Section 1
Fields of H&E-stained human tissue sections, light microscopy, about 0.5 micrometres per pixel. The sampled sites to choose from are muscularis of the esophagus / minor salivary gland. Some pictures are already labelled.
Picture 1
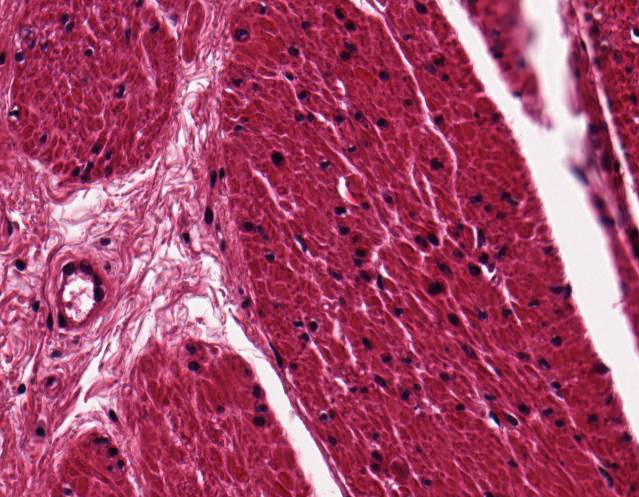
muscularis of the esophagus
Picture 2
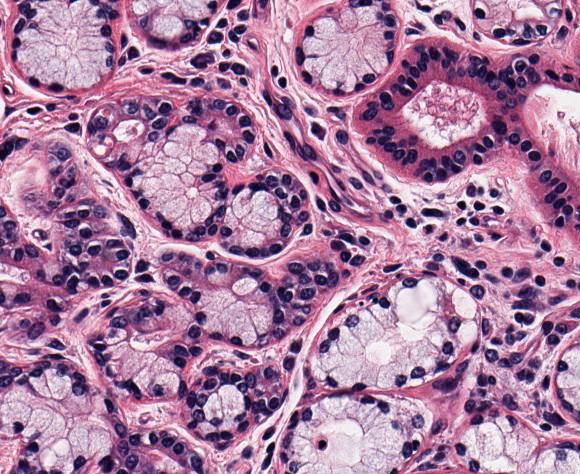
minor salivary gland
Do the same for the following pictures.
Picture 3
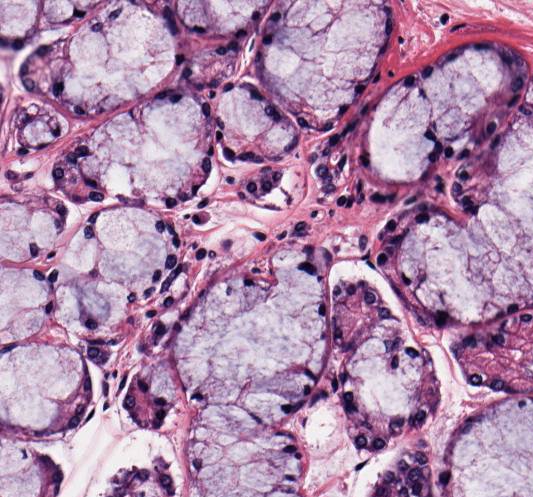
minor salivary gland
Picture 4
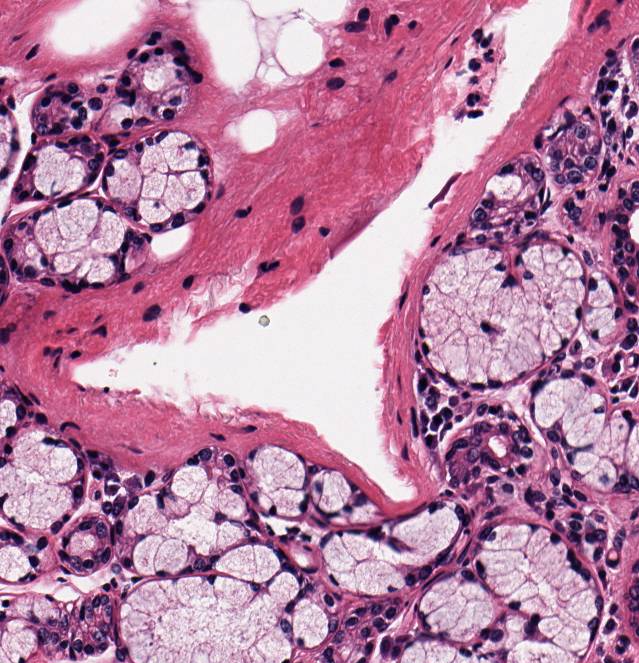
minor salivary gland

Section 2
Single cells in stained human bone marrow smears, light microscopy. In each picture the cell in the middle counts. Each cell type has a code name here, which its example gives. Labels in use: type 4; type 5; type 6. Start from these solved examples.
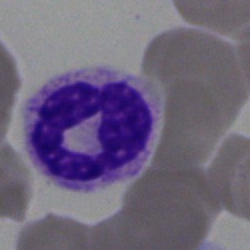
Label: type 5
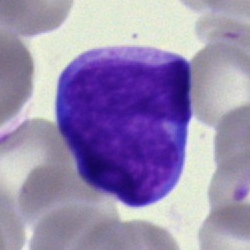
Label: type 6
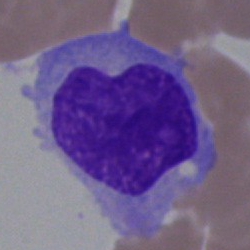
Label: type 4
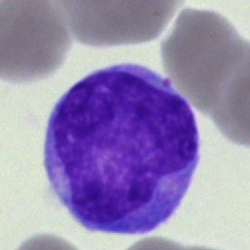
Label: type 4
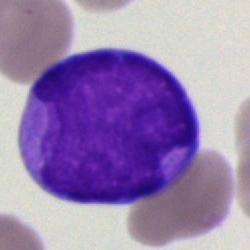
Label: type 6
